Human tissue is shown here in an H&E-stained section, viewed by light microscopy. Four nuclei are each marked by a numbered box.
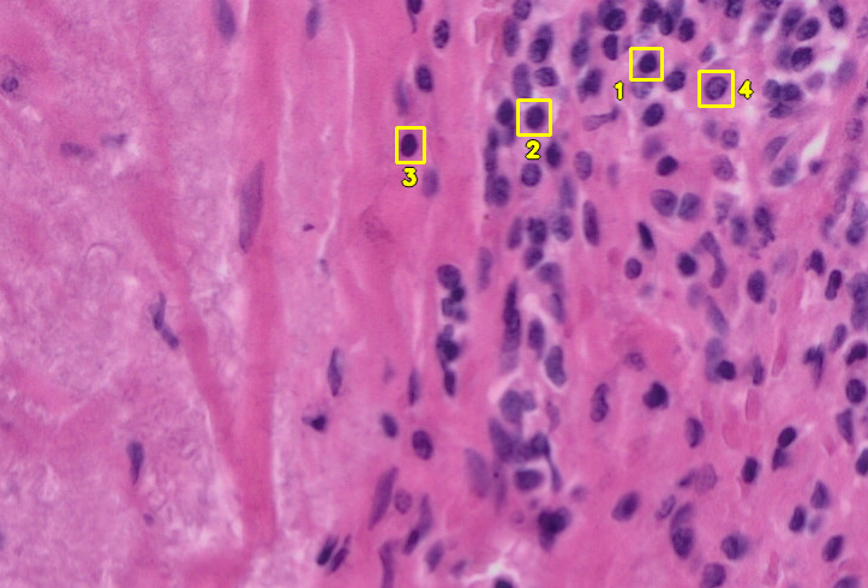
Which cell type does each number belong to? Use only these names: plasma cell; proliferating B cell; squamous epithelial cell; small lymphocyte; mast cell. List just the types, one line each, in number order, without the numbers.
plasma cell
plasma cell
mast cell
plasma cell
